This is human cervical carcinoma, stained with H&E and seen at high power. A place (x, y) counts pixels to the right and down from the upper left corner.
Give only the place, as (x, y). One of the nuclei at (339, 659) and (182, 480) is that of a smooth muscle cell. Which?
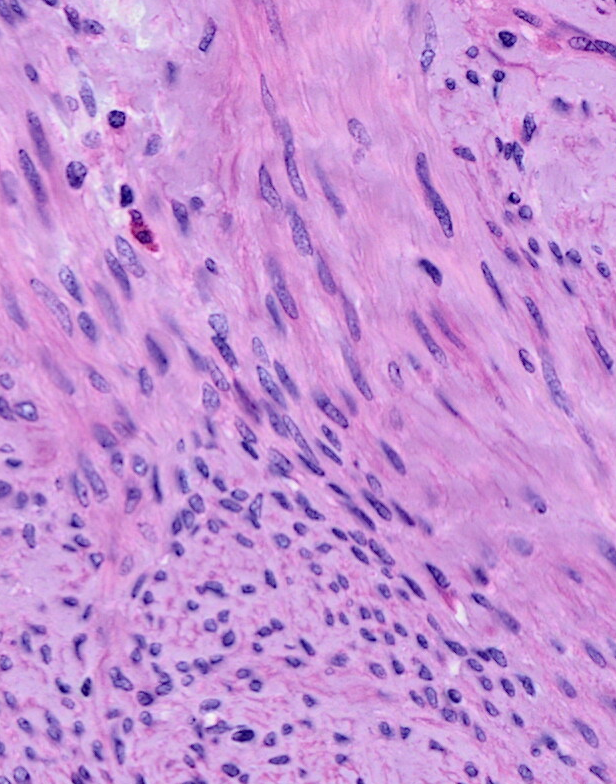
(339, 659)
